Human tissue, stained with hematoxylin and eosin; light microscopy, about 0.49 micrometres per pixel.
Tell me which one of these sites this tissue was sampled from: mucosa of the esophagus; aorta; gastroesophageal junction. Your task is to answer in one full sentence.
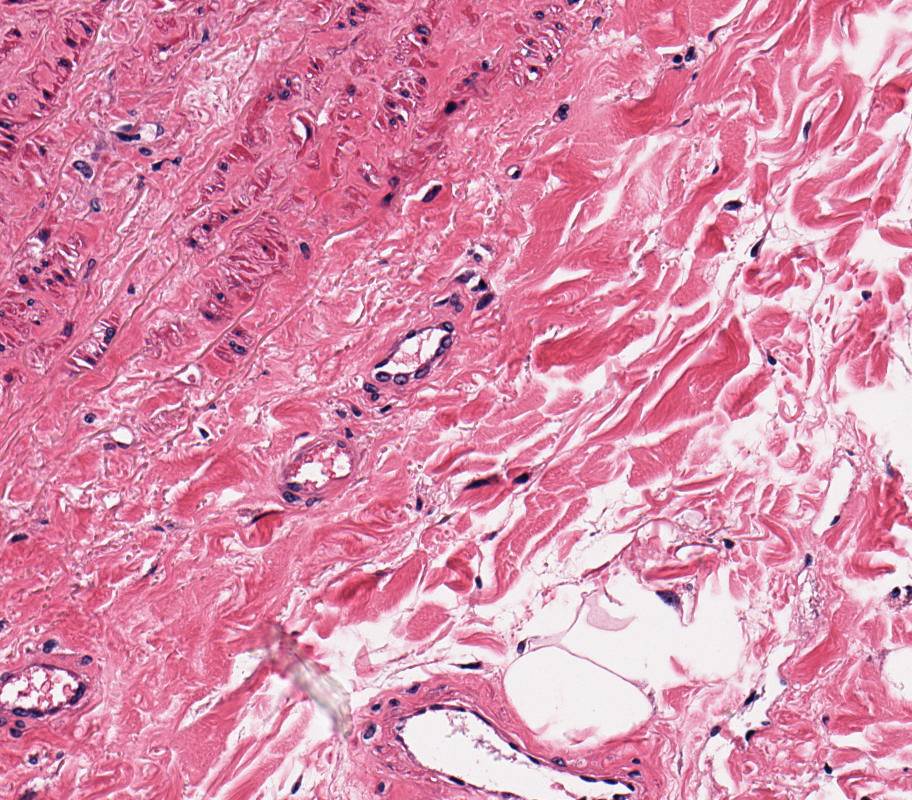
This slide holds tissue sampled from the aorta.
